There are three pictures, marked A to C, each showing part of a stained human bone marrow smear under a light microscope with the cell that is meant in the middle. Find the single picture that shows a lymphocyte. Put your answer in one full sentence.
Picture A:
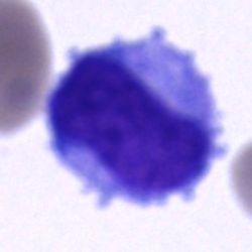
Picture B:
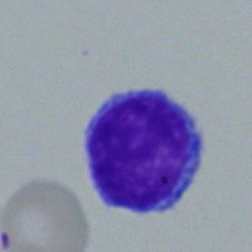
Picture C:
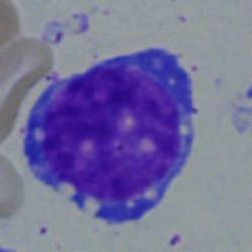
Picture B is the one that shows the lymphocyte.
